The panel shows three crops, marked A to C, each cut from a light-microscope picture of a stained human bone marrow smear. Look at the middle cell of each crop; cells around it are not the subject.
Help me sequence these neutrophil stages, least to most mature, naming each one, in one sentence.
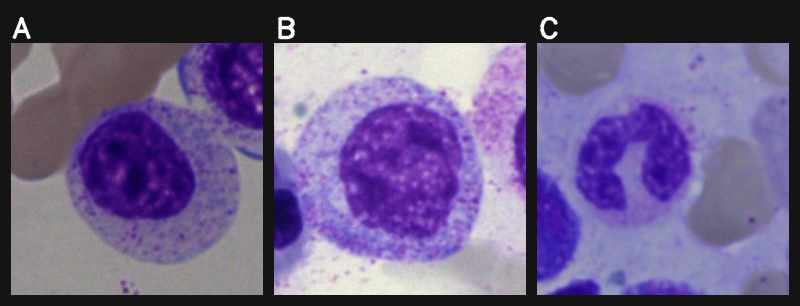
From least mature through to most mature, the order is crop B (a promyelocyte), crop A (a myelocyte) and crop C (a segmented neutrophil).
